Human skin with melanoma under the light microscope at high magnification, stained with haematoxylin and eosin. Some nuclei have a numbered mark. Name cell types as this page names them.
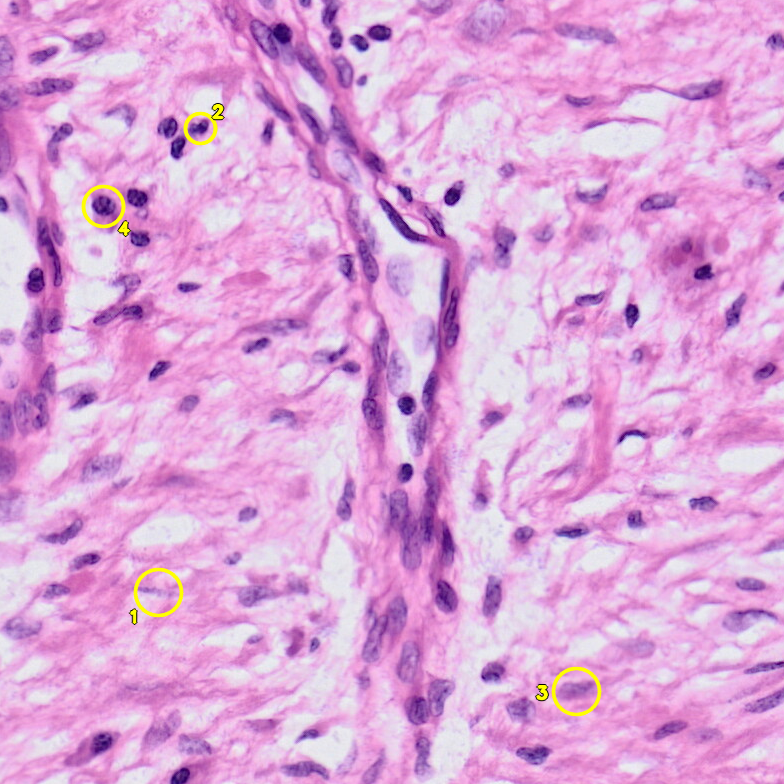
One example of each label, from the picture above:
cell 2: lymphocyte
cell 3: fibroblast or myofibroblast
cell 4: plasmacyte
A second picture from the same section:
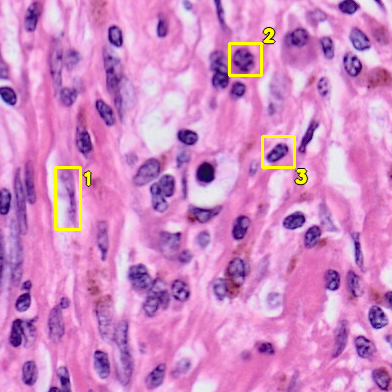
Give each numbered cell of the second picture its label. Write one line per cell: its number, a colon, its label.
1: fibroblast or myofibroblast
2: plasmacyte
3: lymphocyte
